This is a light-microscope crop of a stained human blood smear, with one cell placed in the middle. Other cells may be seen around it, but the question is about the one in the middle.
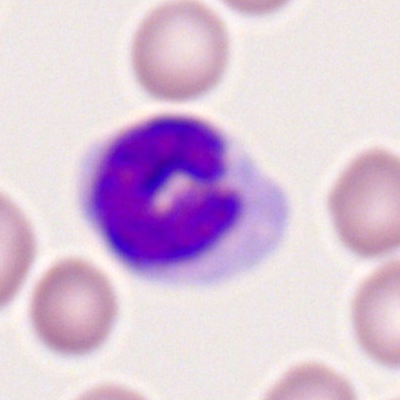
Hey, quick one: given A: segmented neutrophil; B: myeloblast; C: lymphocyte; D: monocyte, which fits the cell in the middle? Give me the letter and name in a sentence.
The centered cell is a monocyte, which is why option D is right.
